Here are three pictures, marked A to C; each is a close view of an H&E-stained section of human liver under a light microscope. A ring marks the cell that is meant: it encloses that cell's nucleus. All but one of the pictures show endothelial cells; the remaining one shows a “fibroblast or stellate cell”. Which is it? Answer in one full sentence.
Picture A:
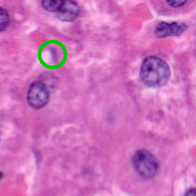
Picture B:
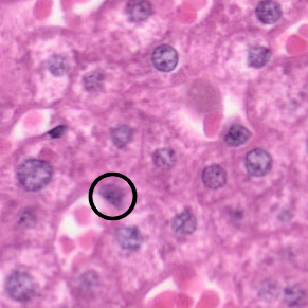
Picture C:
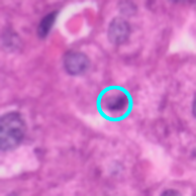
Picture C is the one that shows the “fibroblast or stellate cell”.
